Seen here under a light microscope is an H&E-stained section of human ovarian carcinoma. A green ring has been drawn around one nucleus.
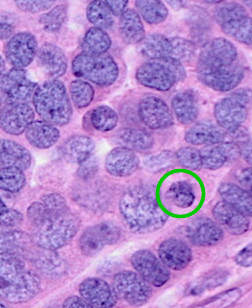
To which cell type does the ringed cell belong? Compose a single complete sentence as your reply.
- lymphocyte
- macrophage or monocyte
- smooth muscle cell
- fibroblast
With respect to cell type, the ringed cell is a macrophage or monocyte.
